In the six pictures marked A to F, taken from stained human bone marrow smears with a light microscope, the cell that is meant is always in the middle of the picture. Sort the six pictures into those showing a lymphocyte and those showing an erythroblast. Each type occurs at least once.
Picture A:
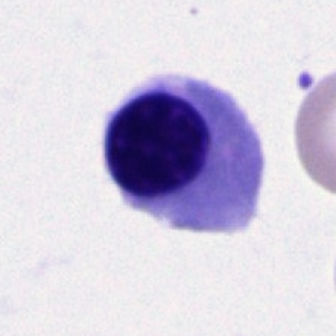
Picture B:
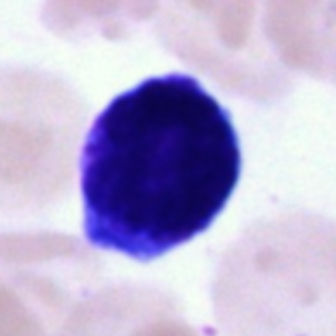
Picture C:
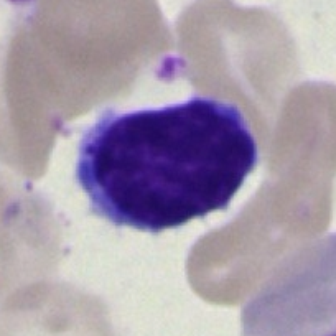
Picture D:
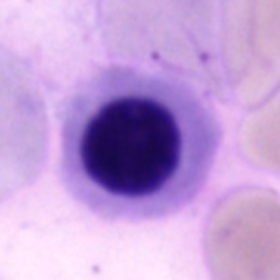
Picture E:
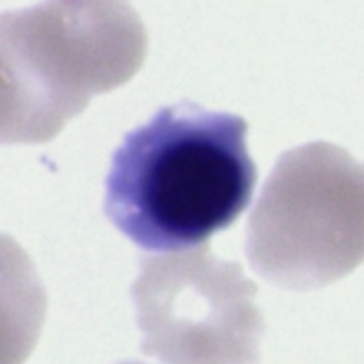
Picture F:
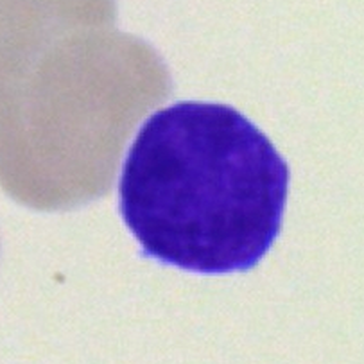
A: erythroblast
B: lymphocyte
C: lymphocyte
D: erythroblast
E: erythroblast
F: lymphocyte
